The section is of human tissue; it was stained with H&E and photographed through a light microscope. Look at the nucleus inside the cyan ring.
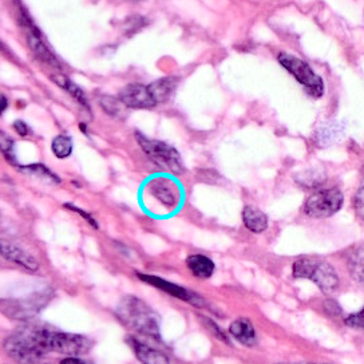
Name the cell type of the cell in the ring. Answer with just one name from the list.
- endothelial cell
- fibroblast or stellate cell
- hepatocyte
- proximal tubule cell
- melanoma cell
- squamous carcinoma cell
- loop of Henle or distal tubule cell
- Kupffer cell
melanoma cell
